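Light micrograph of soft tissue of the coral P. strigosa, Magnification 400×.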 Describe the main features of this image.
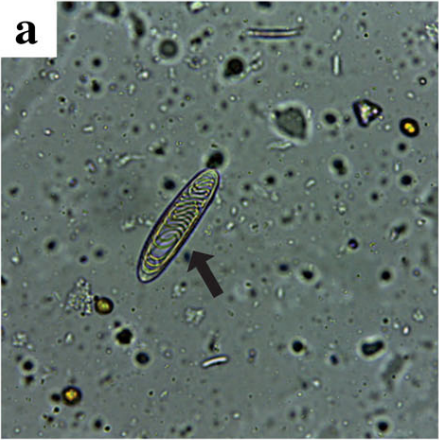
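A single holotrich nematocyst lies at the centre: an elongate oval capsule with a thin smooth wall. Its inner thread is coiled in many close oblique loops that fill the capsule from end to end. Small round bodies and granular debris lie scattered around it.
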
